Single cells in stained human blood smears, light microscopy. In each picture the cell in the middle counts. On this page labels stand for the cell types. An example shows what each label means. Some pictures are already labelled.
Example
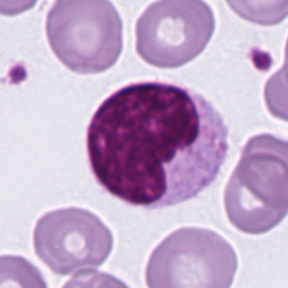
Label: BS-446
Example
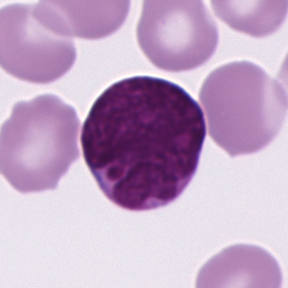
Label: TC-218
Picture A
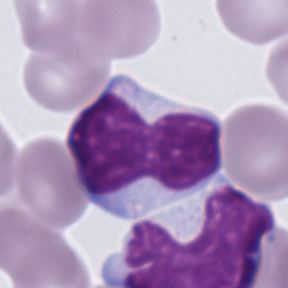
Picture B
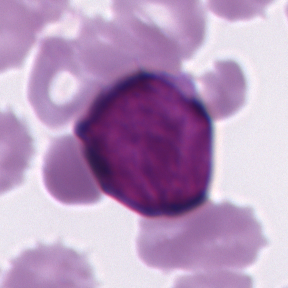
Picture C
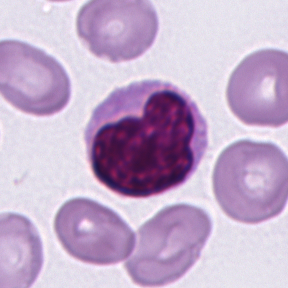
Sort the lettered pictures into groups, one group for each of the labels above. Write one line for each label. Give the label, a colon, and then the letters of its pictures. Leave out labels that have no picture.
BS-446: A, C
TC-218: B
